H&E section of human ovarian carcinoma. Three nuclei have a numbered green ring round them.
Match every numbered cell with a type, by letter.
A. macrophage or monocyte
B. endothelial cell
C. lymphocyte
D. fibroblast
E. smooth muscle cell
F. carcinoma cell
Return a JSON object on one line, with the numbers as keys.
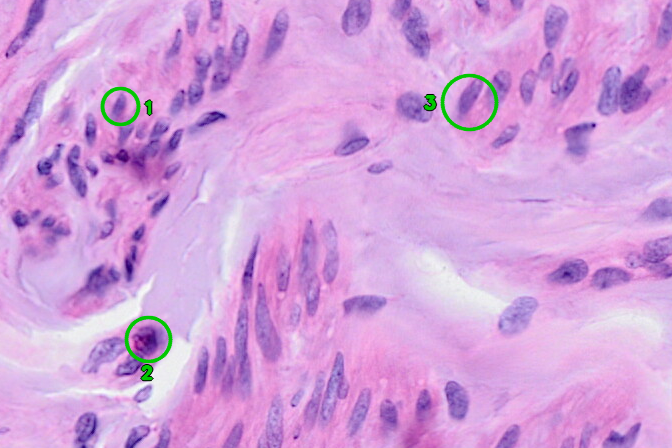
{"1": "E", "2": "B", "3": "E"}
